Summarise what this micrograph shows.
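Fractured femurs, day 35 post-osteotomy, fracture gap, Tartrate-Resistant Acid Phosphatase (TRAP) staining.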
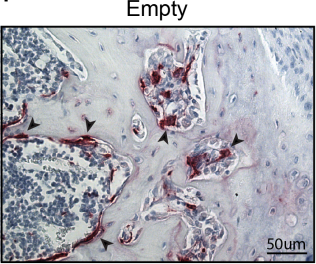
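This is healing bone in which pale, blue-grey bone matrix with scattered small cells in lacunae surrounds cavities filled with densely packed, small round blue nuclei of marrow. Along the edges of the bone, lining these cavities, lie elongated cells stained a deep red; these are osteoclasts, flattened against the bone surface they resorb.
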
